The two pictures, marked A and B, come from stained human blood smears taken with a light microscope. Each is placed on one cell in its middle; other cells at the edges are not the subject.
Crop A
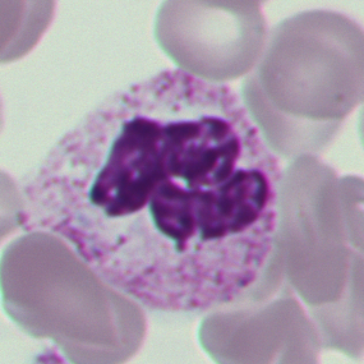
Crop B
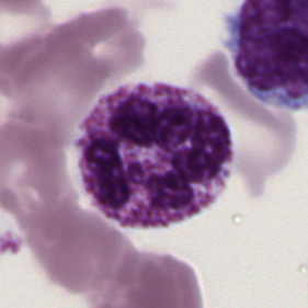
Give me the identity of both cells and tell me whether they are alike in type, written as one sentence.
Yes, both the first crop and the second crop show neutrophils.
